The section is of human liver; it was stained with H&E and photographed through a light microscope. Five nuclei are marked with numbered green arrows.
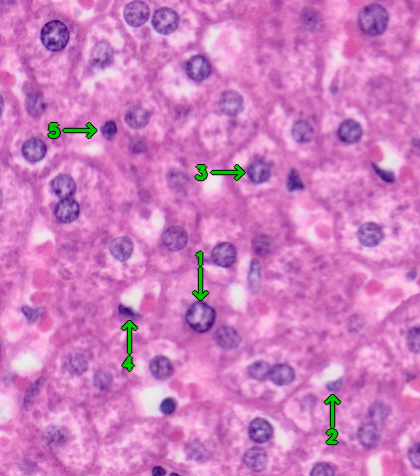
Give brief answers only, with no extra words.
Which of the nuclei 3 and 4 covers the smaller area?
4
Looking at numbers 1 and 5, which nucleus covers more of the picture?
1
